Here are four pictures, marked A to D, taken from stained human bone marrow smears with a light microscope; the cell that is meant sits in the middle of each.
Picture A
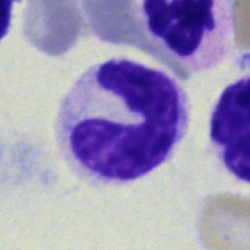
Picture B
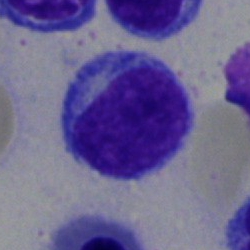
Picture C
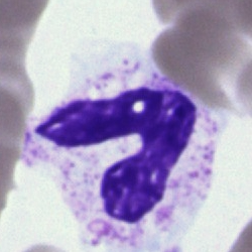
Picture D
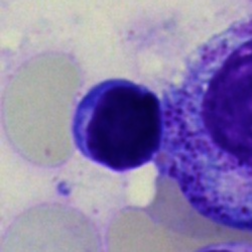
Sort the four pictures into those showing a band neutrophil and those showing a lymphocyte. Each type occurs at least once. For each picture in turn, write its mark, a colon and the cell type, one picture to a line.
A: band neutrophil
B: lymphocyte
C: band neutrophil
D: lymphocyte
